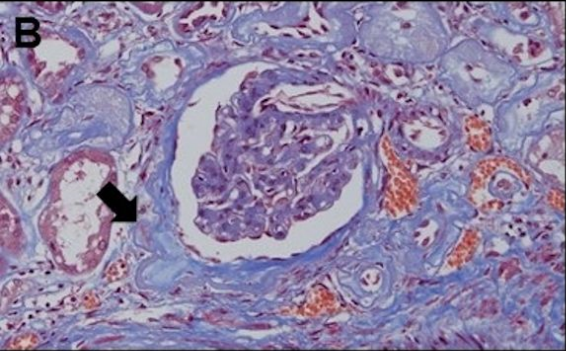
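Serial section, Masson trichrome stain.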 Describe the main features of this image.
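Kidney cortex with a glomerulus whose cellular tuft, with many purple nuclei, lies within a capsule separated by a clear space. Nearby tubules are lined by cells with pink-red cytoplasm and round nuclei around open lumina. Blue-staining collagen fills the interstitium between tubules. Capillaries packed with orange-red erythrocytes run between the tubules.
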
